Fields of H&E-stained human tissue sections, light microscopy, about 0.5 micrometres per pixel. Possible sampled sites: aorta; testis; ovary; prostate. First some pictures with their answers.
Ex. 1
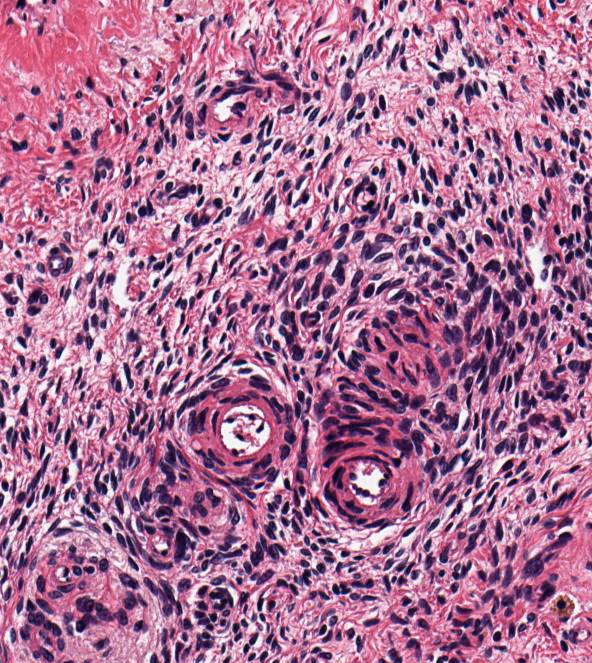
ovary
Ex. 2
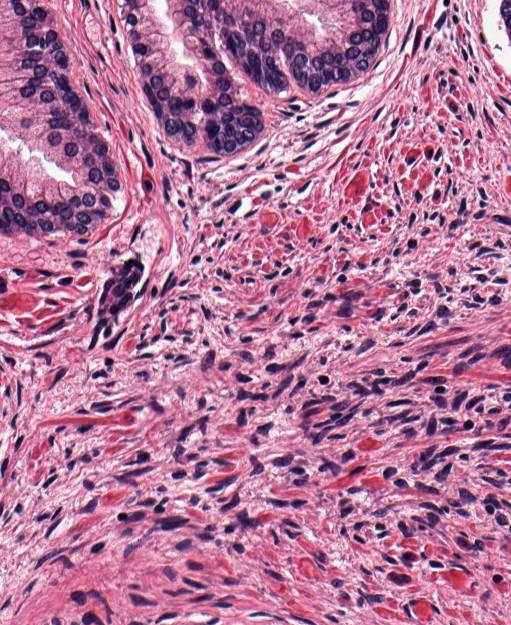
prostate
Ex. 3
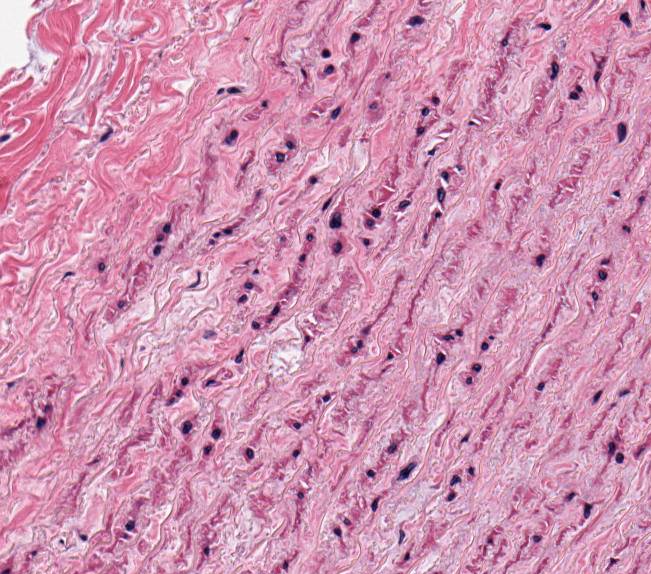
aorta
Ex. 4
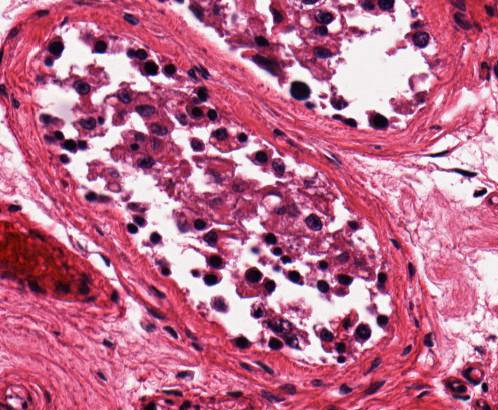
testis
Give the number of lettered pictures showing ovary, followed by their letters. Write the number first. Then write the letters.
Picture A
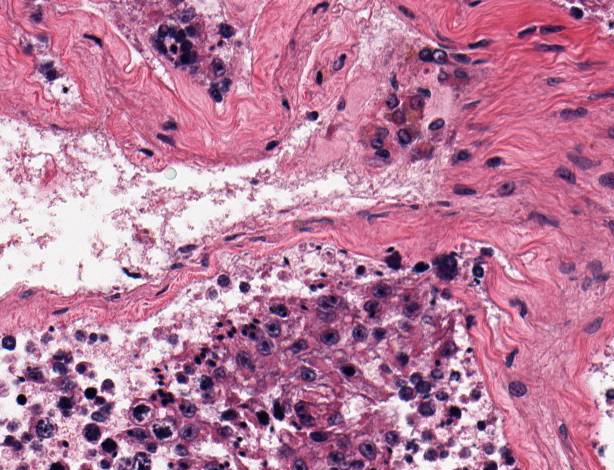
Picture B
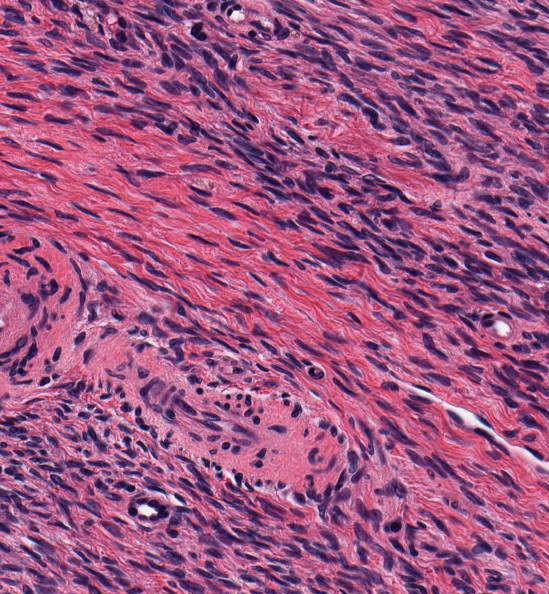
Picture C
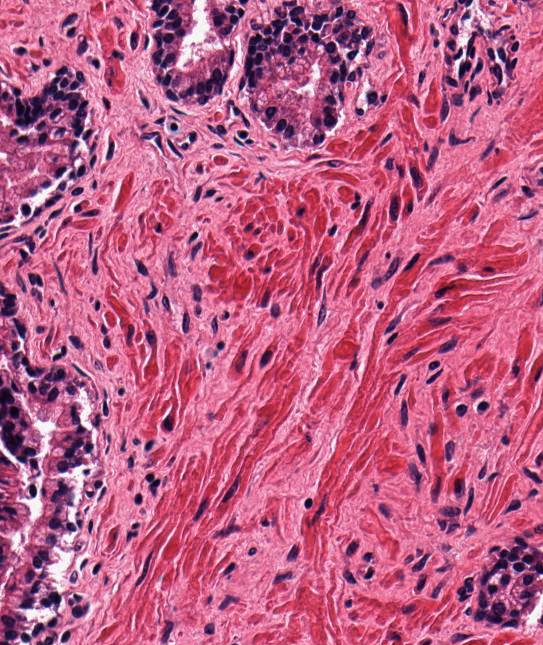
Count: 1 (B)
